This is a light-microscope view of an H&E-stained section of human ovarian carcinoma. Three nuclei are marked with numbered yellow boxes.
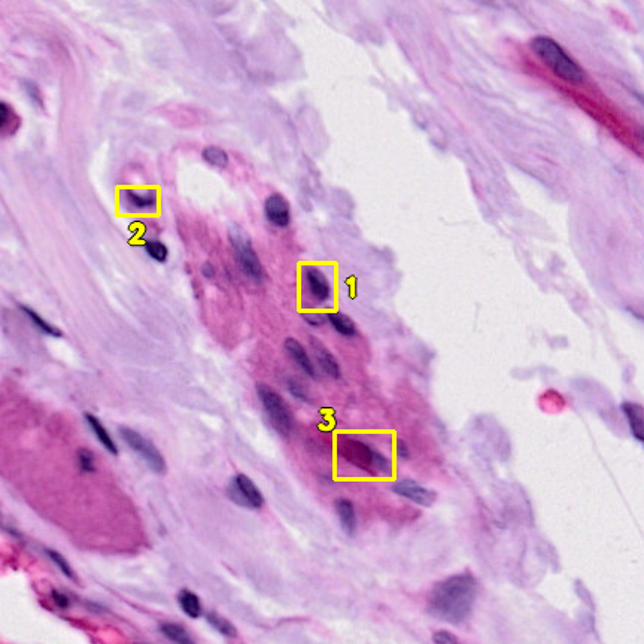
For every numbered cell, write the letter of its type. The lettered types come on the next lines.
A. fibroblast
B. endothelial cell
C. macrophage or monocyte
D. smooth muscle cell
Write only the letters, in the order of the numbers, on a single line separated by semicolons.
D; B; B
